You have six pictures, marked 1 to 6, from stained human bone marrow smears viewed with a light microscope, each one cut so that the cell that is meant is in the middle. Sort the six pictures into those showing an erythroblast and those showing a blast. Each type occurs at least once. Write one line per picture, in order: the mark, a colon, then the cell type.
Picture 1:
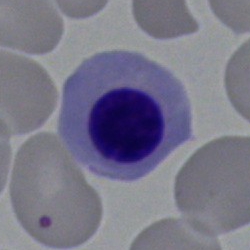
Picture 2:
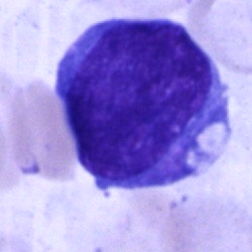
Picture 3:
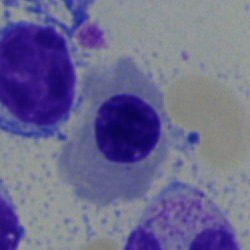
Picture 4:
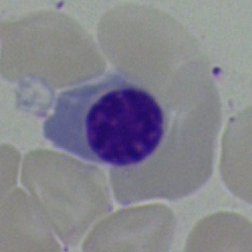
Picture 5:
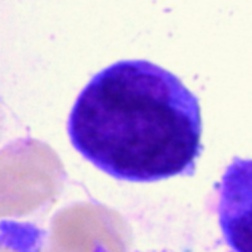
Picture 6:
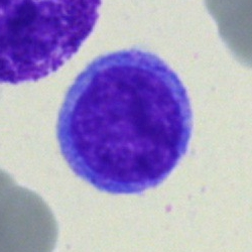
1: erythroblast
2: blast
3: erythroblast
4: erythroblast
5: blast
6: blast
